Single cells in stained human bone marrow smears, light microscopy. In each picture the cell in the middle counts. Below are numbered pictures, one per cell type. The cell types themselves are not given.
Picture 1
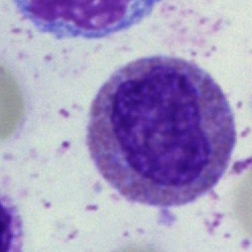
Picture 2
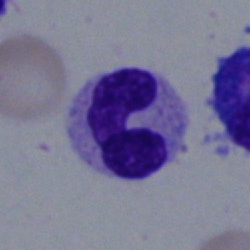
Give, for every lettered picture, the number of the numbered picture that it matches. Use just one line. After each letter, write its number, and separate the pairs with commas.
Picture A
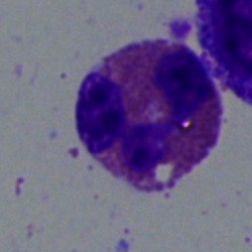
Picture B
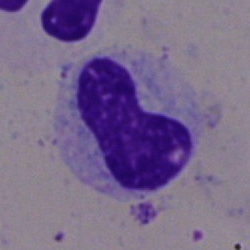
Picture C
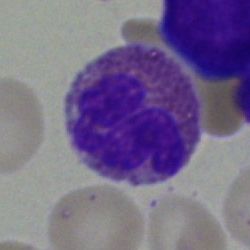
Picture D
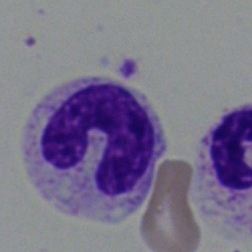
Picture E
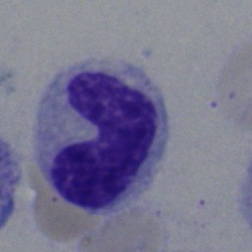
A 1, B 2, C 1, D 2, E 2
